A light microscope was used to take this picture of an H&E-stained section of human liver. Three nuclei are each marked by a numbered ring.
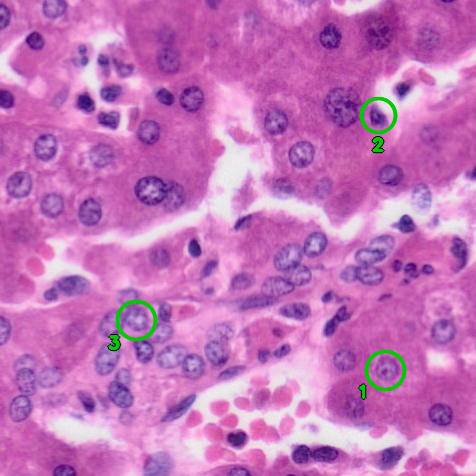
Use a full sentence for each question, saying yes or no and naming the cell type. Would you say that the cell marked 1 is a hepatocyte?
Yes, the cell with number 1 is a hepatocyte.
